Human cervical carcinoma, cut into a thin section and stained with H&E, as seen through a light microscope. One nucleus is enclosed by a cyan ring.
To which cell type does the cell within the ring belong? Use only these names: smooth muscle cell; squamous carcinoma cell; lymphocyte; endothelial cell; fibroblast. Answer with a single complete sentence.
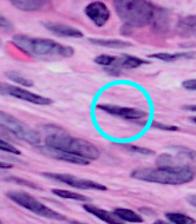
Among the cells in this section, the cell within the ring is a fibroblast.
